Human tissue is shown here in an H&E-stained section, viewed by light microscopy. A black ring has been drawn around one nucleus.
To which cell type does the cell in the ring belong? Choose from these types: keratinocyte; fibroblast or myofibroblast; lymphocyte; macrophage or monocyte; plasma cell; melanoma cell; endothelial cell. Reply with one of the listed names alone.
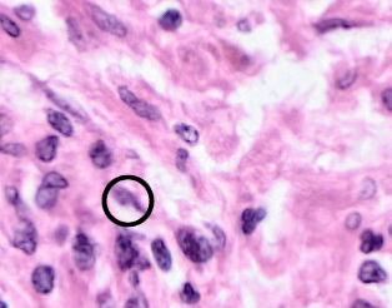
fibroblast or myofibroblast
